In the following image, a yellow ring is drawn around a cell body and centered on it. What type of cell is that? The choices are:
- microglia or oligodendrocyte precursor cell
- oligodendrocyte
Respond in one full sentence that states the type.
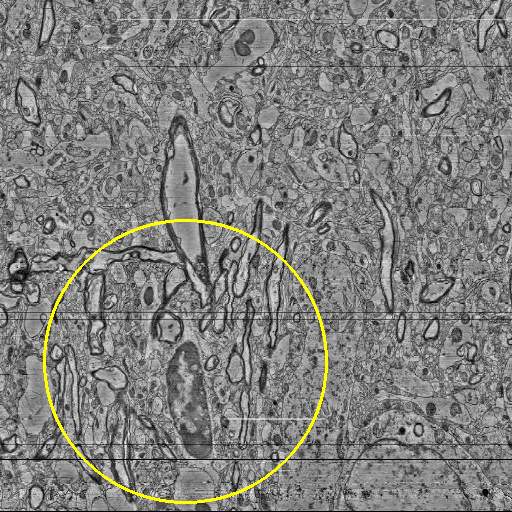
The cell at the center of the yellow ring in the image is a microglial cell or oligodendrocyte precursor cell.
